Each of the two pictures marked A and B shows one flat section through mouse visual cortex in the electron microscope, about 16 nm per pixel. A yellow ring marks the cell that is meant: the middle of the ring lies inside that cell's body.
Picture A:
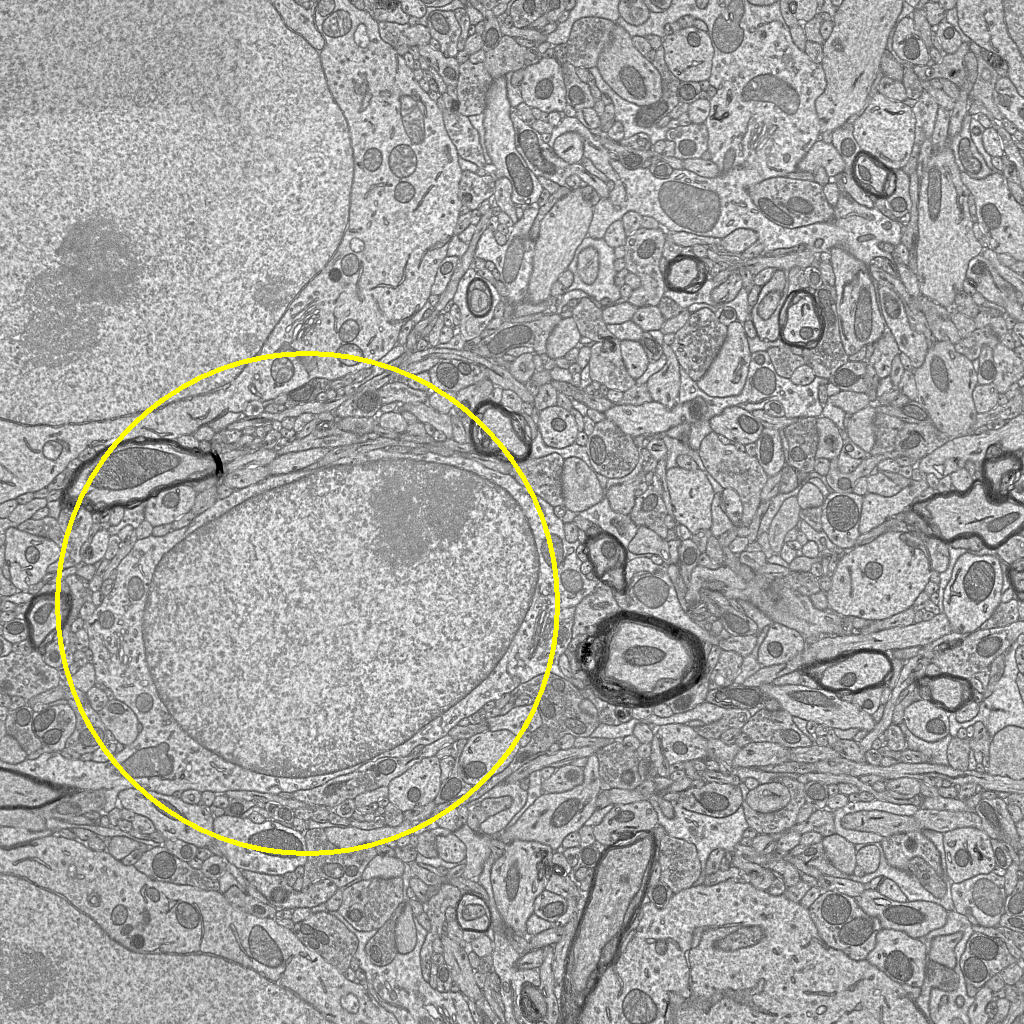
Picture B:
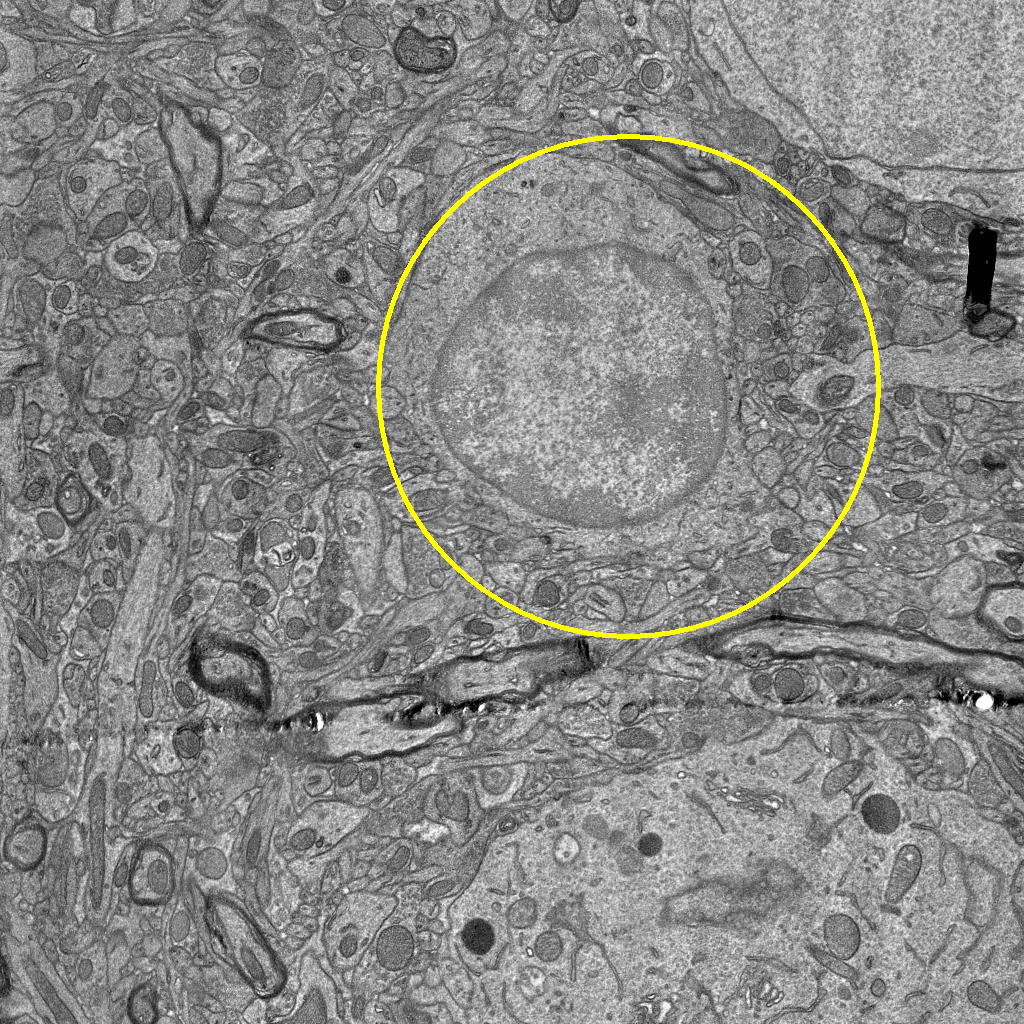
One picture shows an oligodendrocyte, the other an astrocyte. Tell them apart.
Picture A shows an astrocyte and picture B shows an oligodendrocyte.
